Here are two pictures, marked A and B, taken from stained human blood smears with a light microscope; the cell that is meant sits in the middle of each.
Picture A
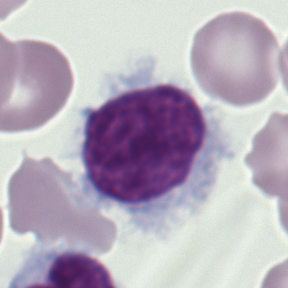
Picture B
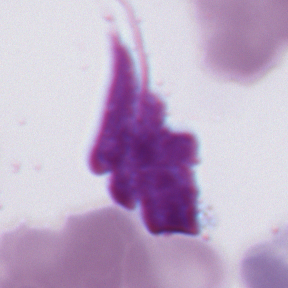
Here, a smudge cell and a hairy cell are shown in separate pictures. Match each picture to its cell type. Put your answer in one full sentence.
It is picture A that shows a hairy cell, and picture B that shows a smudge cell.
